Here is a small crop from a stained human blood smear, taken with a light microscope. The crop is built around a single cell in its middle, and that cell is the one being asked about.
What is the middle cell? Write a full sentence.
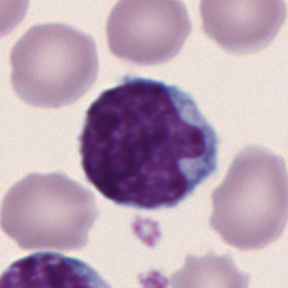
Of the cells in this crop, the central one is a typical lymphocyte.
